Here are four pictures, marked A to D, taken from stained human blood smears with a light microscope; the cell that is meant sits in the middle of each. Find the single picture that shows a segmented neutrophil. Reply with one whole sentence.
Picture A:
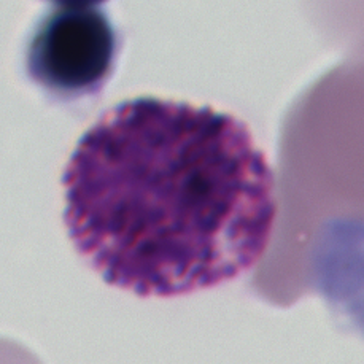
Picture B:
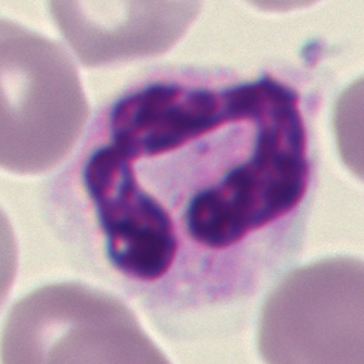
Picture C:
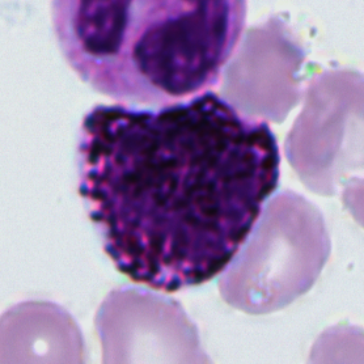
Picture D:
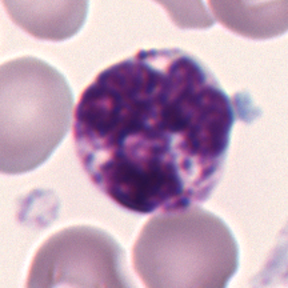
The segmented neutrophil is the one in picture B.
